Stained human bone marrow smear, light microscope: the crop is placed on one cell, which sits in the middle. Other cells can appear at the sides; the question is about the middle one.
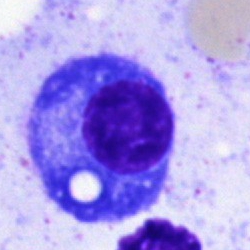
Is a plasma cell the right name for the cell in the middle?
yes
